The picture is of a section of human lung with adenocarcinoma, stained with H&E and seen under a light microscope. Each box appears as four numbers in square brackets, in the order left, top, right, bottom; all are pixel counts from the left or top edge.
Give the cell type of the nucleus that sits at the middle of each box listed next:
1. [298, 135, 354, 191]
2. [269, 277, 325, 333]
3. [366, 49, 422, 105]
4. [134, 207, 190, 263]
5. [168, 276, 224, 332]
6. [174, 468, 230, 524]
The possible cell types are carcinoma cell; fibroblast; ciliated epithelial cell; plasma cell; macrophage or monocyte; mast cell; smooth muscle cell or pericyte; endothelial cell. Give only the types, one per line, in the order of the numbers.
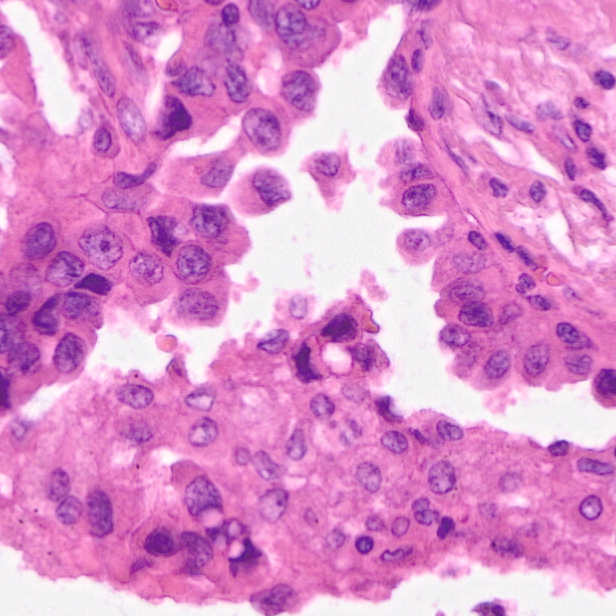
macrophage or monocyte
macrophage or monocyte
carcinoma cell
carcinoma cell
carcinoma cell
carcinoma cell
